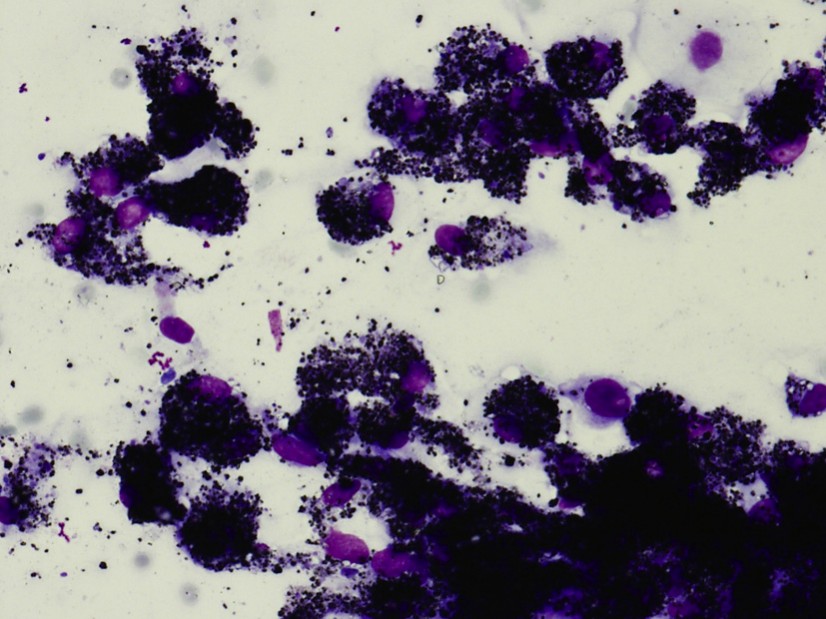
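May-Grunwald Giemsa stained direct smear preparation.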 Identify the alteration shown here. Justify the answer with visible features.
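Coarse black granular material fills the cytoplasm of many cells. Similar black granules also lie free in the background. So: anthracotic pigment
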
